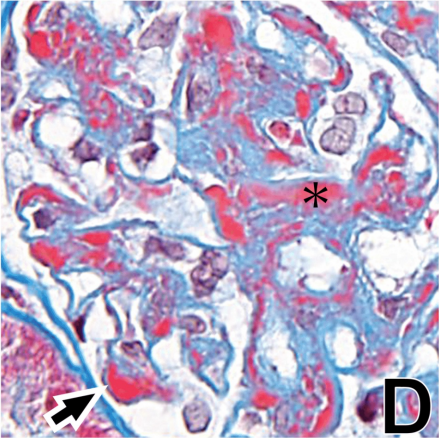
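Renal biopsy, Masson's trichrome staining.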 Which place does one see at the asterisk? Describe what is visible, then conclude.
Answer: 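The asterisk lies on red material in the central stalk region between capillary loops.
Conclusion: mesangial areas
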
